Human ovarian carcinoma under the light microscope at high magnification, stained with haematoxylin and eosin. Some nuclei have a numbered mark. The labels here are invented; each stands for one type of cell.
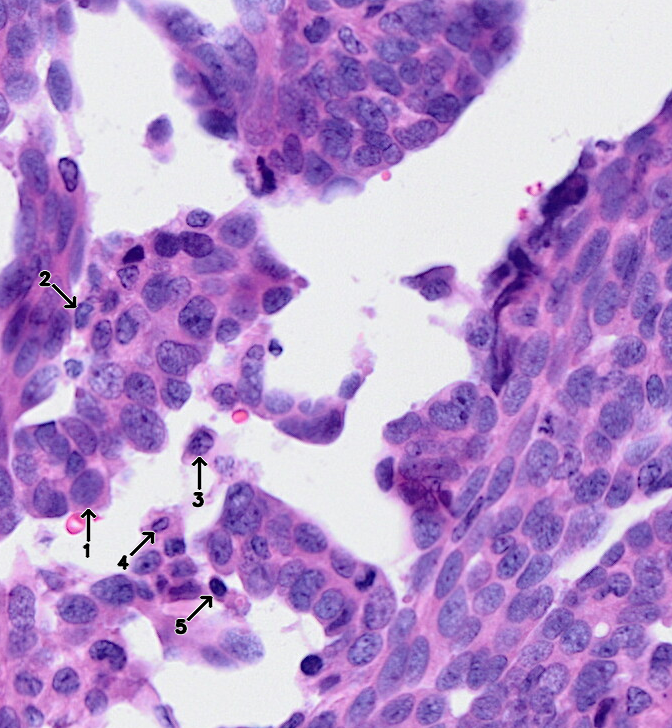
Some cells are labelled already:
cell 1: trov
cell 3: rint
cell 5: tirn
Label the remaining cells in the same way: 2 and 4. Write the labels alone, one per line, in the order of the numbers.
rint
rint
